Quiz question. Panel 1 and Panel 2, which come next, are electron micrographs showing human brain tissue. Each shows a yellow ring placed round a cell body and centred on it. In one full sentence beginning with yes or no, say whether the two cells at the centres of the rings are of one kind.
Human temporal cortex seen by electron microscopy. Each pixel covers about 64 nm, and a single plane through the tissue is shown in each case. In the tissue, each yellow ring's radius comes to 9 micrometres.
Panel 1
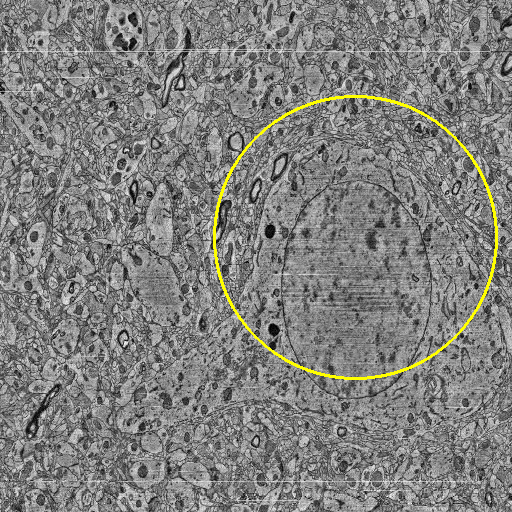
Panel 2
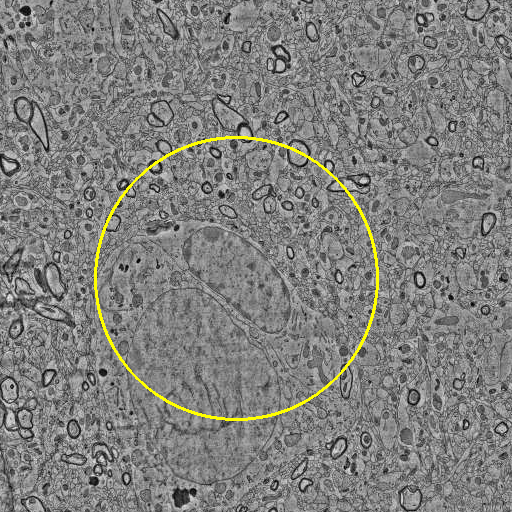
No, Panel 1 and Panel 2 show two kinds of cell at the centre of the ring.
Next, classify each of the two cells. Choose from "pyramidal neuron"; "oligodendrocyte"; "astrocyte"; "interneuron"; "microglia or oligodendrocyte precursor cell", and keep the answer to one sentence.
In the first picture it is a pyramidal neuron; in the second it is a microglial cell or oligodendrocyte precursor cell.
